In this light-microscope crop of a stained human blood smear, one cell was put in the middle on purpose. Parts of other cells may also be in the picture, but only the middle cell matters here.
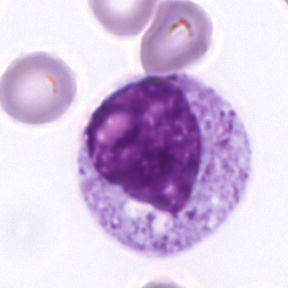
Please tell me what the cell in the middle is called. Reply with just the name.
myelocyte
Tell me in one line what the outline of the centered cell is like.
You can see a smooth boundary, with no projections sticking out.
